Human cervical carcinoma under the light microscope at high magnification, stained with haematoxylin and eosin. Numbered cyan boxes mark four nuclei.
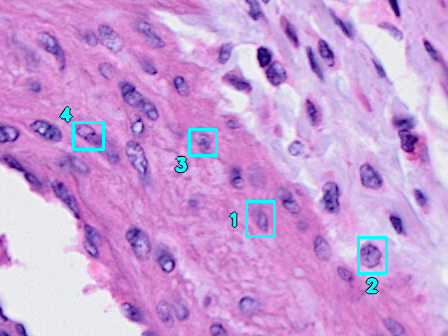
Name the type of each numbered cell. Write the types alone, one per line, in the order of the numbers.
smooth muscle cell
macrophage or monocyte
smooth muscle cell
smooth muscle cell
